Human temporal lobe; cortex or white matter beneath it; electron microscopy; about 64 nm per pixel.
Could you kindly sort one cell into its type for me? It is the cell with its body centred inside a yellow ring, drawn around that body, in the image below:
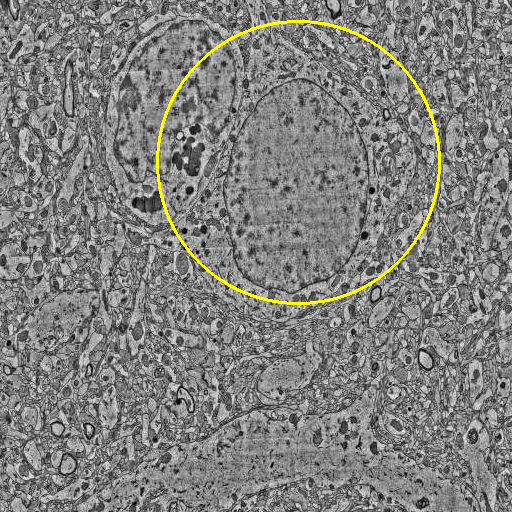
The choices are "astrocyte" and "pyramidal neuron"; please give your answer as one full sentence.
The cell whose body lies centred in the yellow ring here is a pyramidal neuron.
